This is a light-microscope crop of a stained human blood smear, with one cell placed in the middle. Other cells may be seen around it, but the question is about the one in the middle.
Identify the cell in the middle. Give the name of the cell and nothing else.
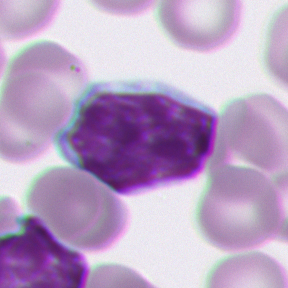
lymphocyte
